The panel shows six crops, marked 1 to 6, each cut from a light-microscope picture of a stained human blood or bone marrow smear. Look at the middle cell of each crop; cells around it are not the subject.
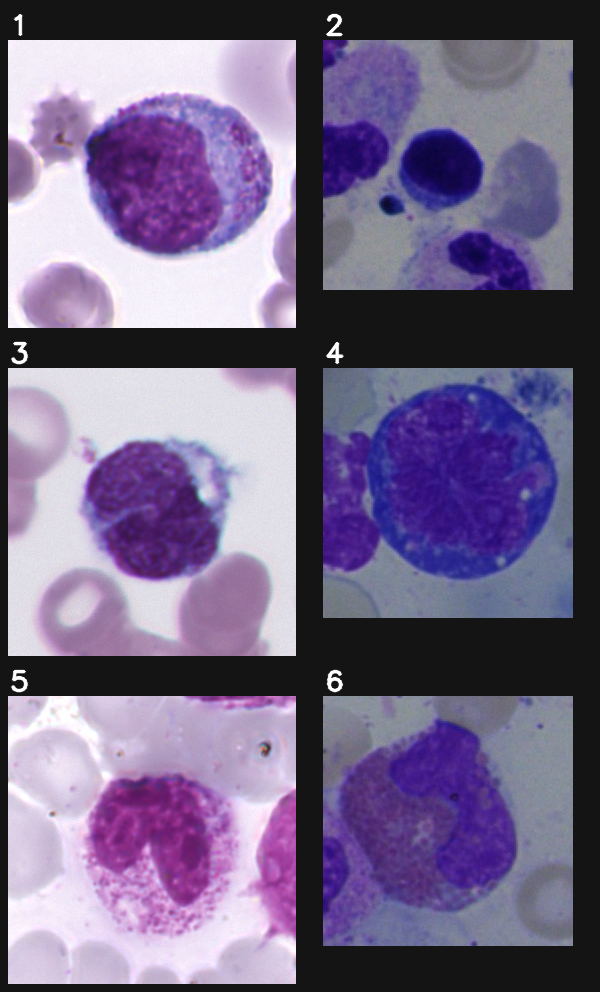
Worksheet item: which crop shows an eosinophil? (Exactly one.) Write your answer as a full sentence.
The one crop that shows an eosinophil is crop 6.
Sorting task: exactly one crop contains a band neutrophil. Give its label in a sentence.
Among these crops, crop 5 holds a band neutrophil.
